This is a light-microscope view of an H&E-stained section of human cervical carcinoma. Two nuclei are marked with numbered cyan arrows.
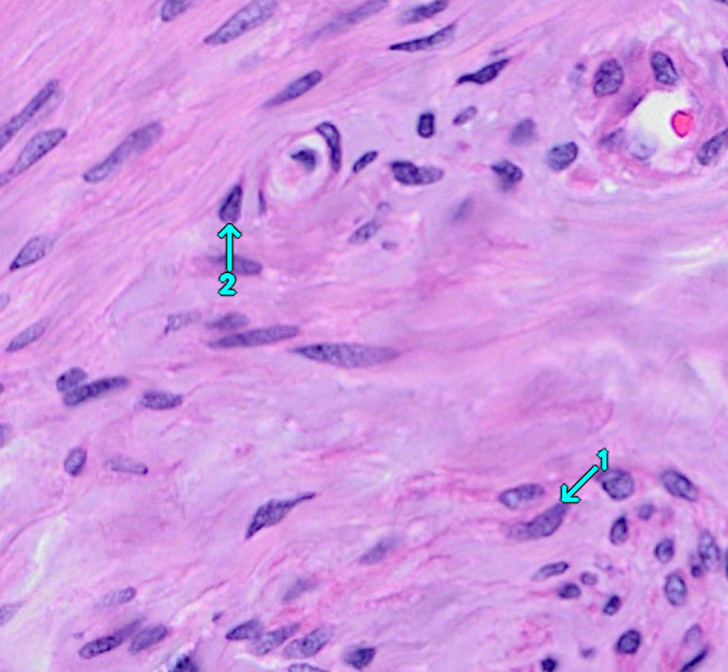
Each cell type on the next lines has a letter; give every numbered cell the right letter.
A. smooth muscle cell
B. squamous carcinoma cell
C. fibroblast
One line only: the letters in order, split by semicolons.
A; C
